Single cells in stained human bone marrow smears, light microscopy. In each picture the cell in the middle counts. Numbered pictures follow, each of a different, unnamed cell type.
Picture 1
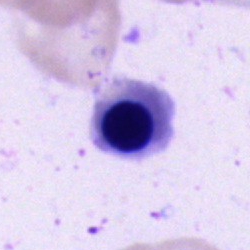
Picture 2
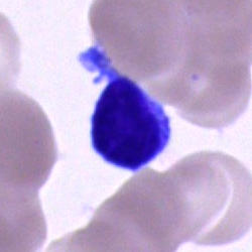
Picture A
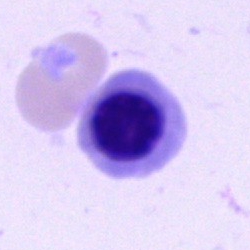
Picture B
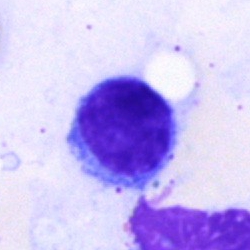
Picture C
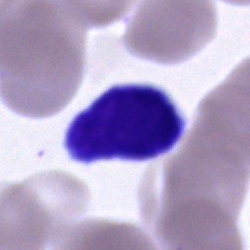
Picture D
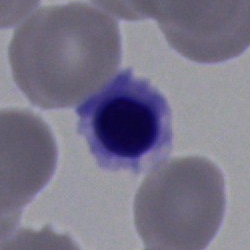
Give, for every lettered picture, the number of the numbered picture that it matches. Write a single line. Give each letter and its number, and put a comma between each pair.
A 1, B 2, C 2, D 1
